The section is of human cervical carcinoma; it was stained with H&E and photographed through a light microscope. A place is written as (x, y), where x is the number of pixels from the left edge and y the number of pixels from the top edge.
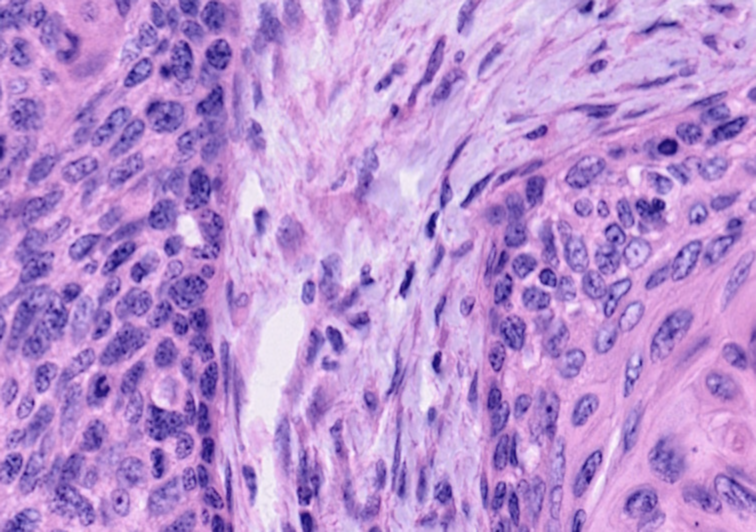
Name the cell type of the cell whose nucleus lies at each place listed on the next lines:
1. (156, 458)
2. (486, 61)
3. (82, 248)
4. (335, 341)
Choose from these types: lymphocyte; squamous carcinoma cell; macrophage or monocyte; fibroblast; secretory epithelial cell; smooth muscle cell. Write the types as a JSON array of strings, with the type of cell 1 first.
["squamous carcinoma cell", "fibroblast", "squamous carcinoma cell", "lymphocyte"]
